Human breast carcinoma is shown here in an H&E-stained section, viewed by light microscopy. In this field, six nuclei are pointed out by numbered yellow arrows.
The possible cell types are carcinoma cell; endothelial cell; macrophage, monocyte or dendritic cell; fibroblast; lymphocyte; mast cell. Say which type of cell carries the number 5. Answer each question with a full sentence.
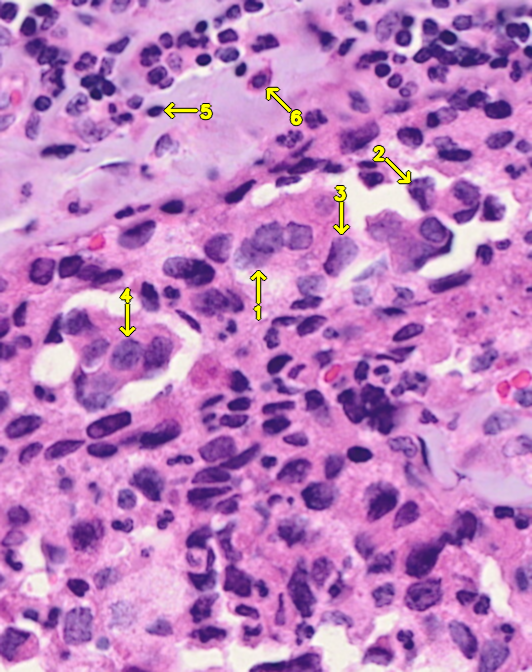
The cell pointed out as number 5 is a lymphocyte.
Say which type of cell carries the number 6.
The cell to which the number 6 is assigned is a mast cell.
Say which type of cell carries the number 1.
Nucleus 1 in this section belongs to a carcinoma cell.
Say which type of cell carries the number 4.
The expected answer is that cell 4 is a carcinoma cell.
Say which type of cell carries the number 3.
The cell tagged with 3 in this tissue section is a carcinoma cell.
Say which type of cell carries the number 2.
Recognised here as a carcinoma cell is the cell numbered 2.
